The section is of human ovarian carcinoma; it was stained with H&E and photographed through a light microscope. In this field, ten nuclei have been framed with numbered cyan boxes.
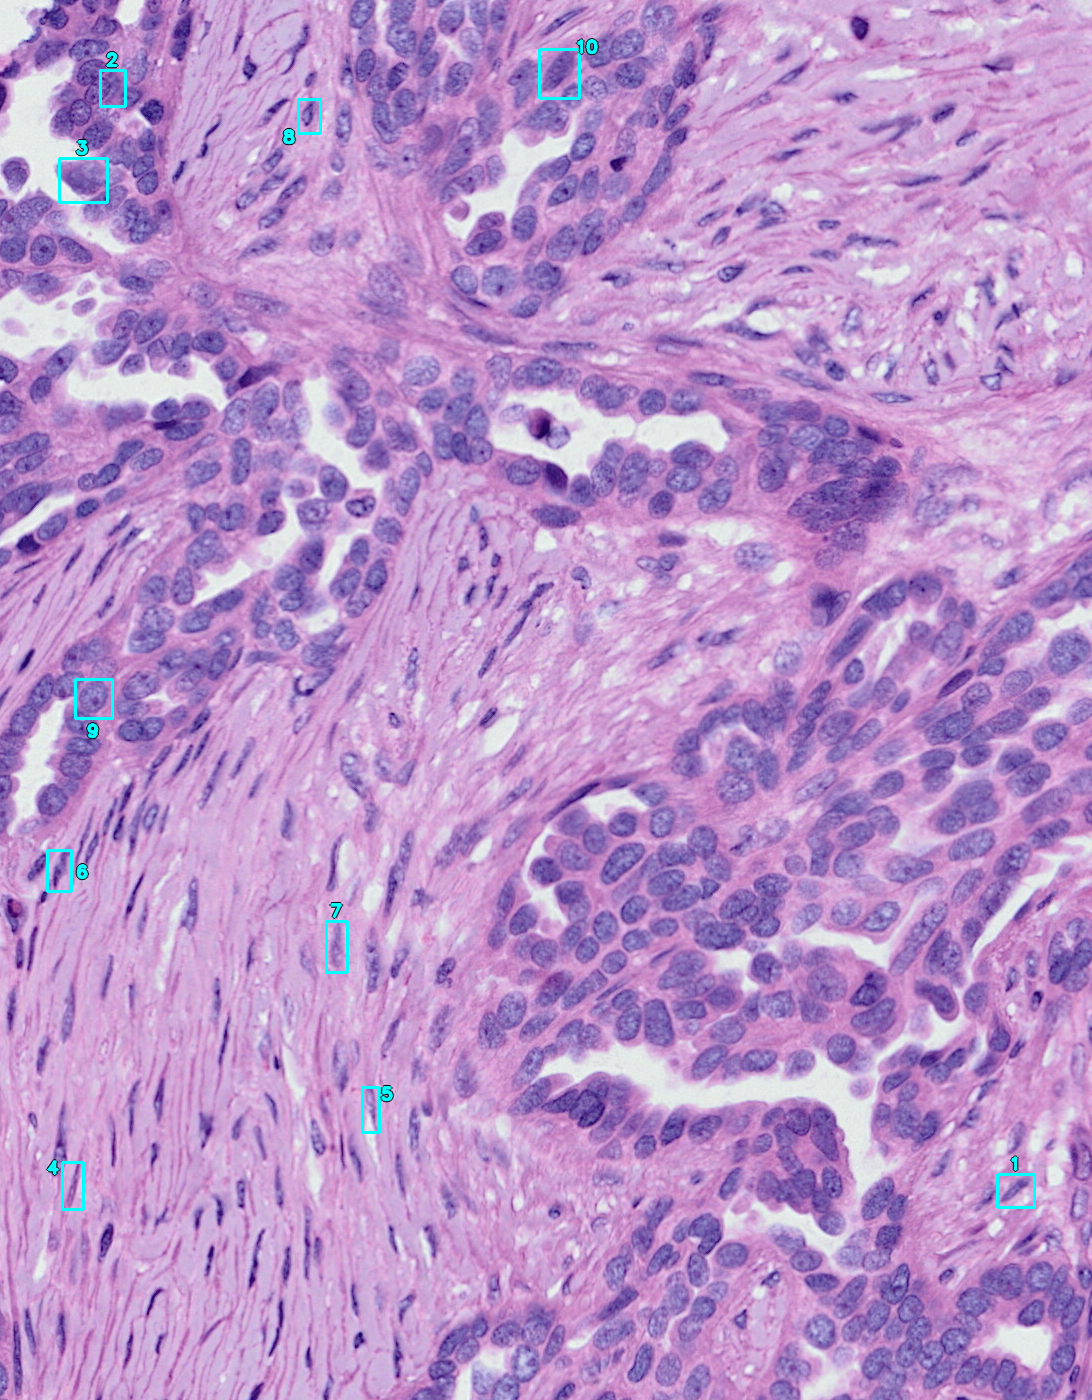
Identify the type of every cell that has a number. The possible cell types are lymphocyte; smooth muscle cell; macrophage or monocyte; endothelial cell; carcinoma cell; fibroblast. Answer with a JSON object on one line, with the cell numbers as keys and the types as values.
{"1": "fibroblast", "2": "carcinoma cell", "3": "carcinoma cell", "4": "fibroblast", "5": "fibroblast", "6": "fibroblast", "7": "fibroblast", "8": "fibroblast", "9": "carcinoma cell", "10": "carcinoma cell"}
